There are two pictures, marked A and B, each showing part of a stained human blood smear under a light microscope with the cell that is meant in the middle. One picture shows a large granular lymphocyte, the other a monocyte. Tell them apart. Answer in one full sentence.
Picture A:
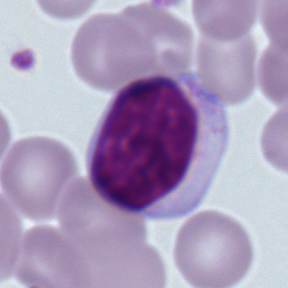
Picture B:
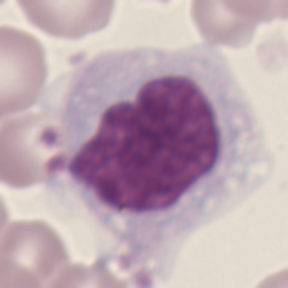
In picture A the cell is a large granular lymphocyte; in picture B, a monocyte.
